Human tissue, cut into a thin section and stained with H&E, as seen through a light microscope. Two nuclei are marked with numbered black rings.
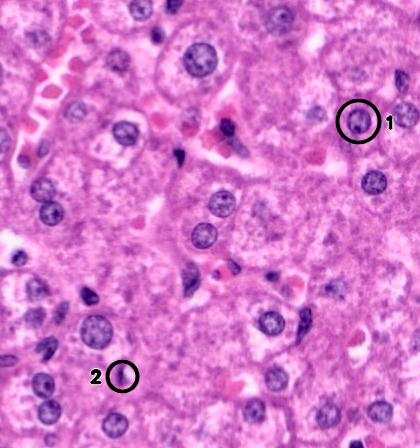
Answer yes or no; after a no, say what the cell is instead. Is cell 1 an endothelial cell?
No, it is a hepatocyte.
